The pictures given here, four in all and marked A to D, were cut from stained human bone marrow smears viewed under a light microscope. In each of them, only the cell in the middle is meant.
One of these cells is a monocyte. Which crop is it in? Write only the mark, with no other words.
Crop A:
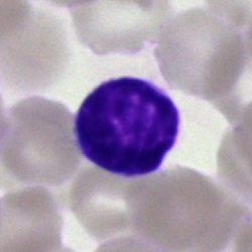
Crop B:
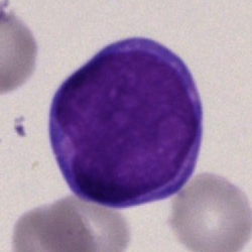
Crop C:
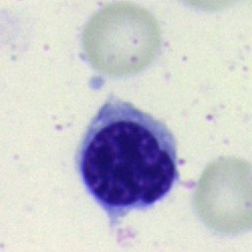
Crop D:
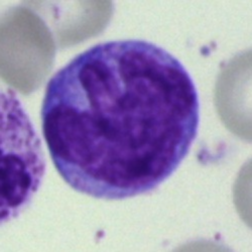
D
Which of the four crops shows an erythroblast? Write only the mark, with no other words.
C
